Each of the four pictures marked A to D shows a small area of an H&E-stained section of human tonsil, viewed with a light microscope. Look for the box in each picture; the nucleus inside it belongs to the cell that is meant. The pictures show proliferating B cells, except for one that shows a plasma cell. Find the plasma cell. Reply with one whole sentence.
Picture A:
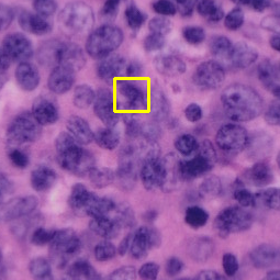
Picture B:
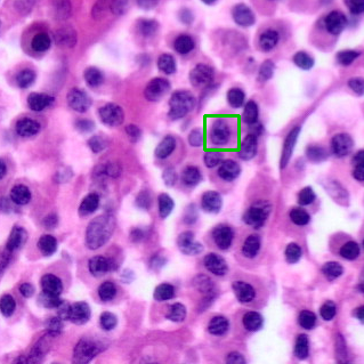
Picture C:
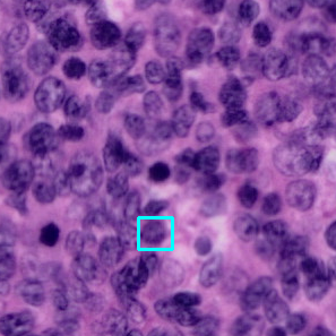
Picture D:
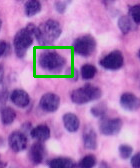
Picture B is the one that shows the plasma cell.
